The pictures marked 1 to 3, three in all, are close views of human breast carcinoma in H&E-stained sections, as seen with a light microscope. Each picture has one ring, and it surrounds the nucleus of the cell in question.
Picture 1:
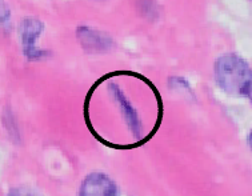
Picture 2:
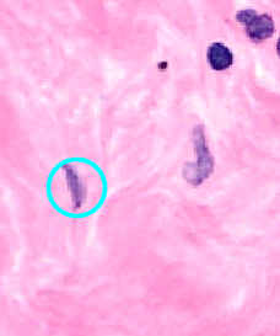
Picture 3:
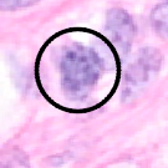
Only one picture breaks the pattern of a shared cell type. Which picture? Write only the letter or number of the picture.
3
